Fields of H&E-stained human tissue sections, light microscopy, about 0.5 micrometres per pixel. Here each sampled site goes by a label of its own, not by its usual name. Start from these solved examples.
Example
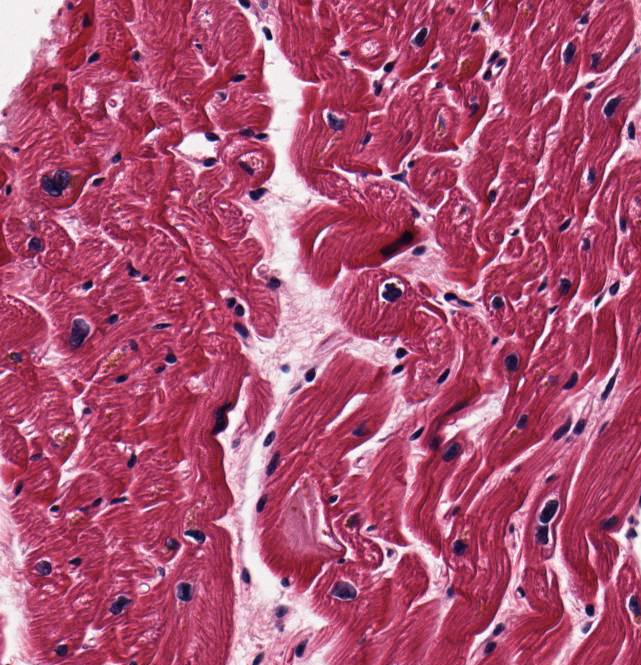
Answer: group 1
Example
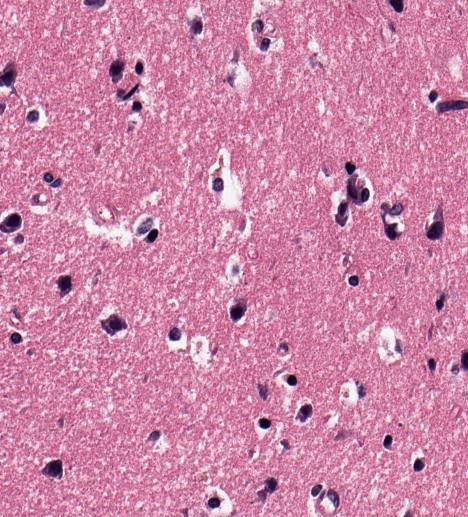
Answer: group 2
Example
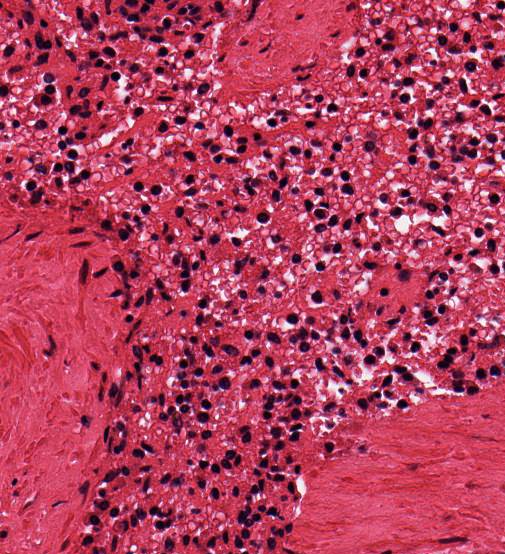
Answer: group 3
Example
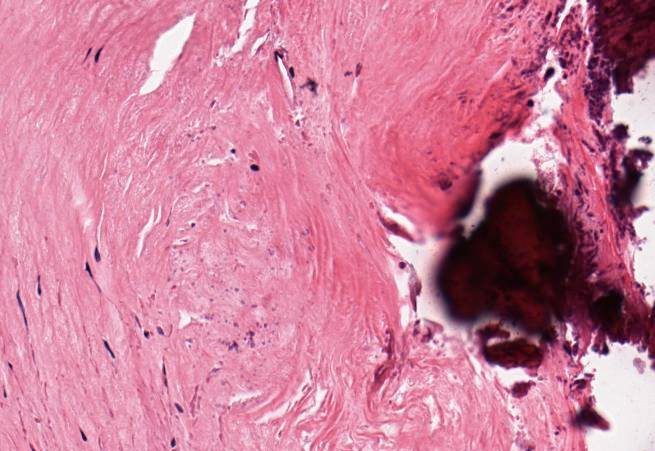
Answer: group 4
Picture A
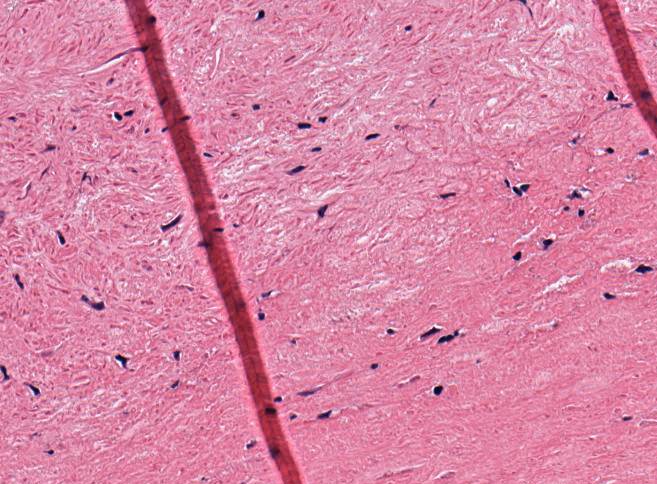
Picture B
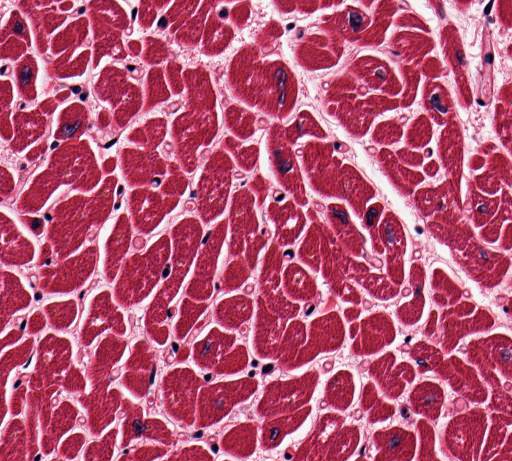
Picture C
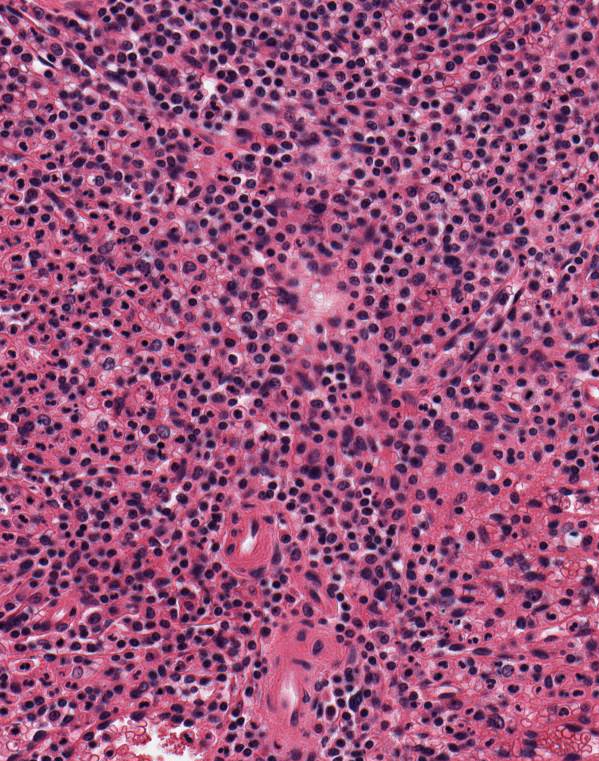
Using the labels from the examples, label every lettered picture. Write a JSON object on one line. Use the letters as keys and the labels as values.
{"A": "group 4", "B": "group 1", "C": "group 3"}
